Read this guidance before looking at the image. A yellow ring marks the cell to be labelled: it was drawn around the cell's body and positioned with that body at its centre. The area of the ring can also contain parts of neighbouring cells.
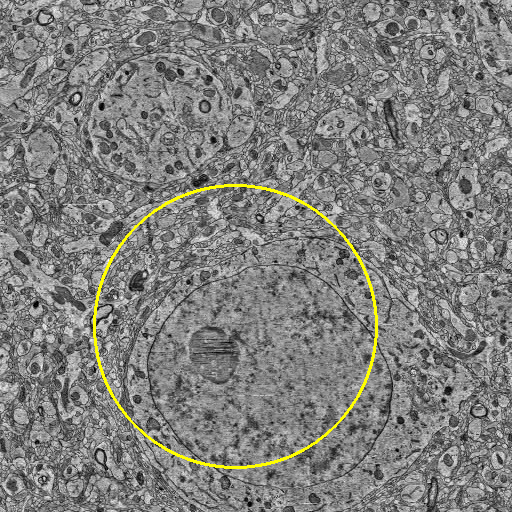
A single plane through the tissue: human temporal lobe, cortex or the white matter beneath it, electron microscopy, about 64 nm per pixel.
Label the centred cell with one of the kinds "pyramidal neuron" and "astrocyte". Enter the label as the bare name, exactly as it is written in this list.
pyramidal neuron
